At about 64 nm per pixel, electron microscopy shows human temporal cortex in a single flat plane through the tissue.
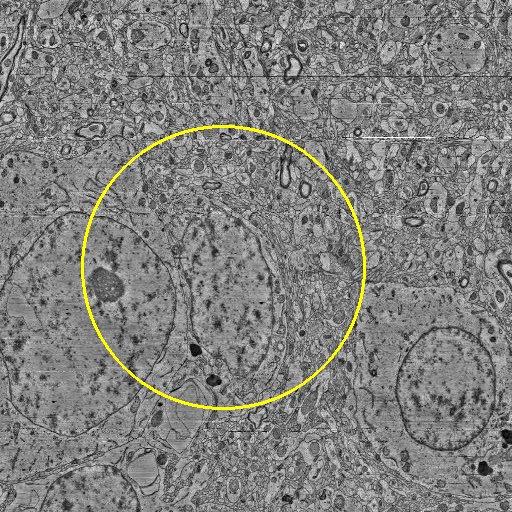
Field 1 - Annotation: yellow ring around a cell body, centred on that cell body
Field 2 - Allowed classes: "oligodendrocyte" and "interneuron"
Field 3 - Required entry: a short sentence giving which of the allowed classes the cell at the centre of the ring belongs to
The centred cell is an interneuron.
